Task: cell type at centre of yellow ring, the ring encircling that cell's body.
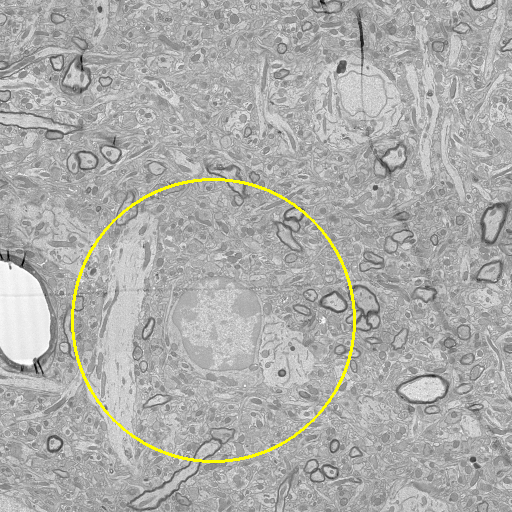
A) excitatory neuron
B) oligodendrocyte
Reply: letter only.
B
